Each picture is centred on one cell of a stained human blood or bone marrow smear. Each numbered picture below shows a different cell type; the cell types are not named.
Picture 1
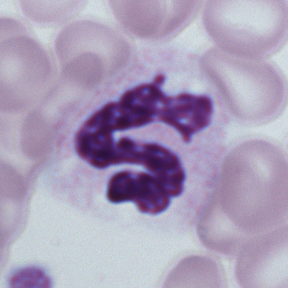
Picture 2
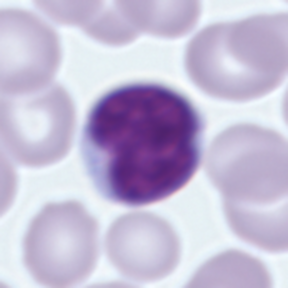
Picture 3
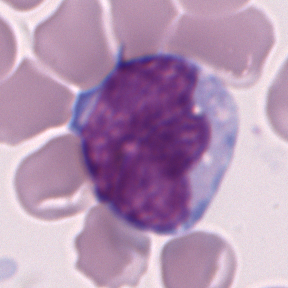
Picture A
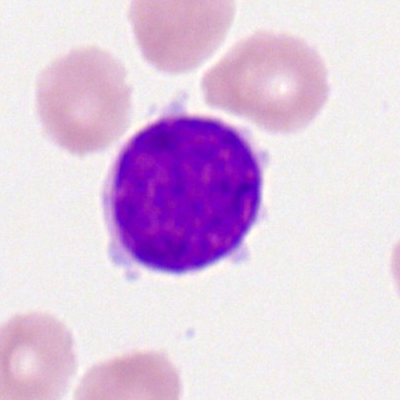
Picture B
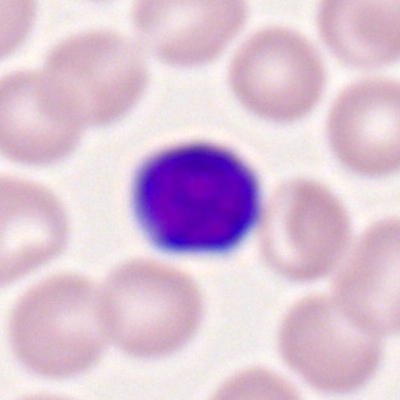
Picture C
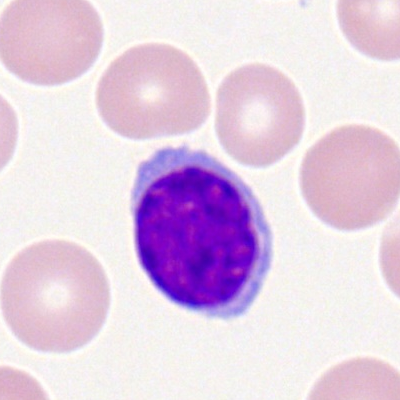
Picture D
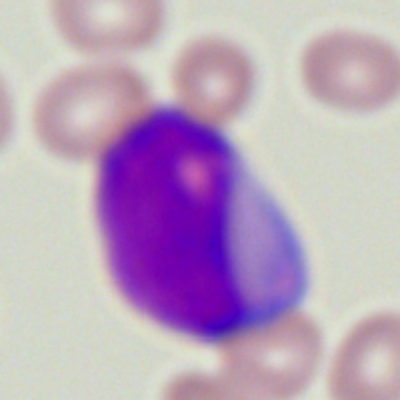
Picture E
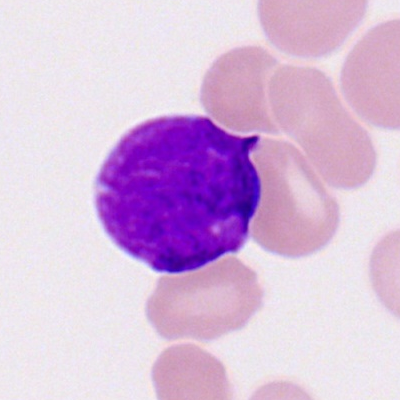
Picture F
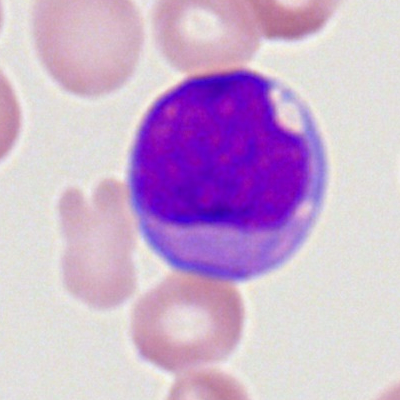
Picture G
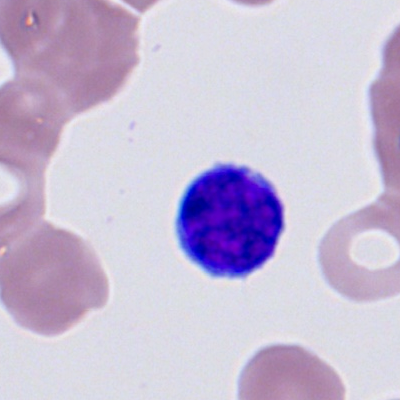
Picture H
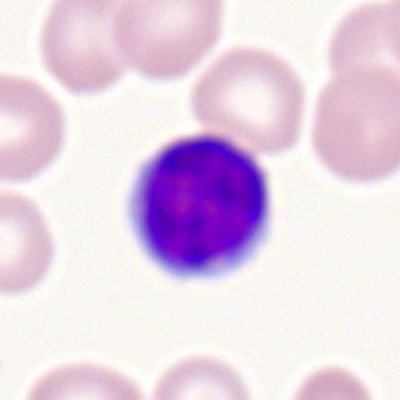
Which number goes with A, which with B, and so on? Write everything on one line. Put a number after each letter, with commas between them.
A 2, B 2, C 2, D 3, E 3, F 3, G 2, H 2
